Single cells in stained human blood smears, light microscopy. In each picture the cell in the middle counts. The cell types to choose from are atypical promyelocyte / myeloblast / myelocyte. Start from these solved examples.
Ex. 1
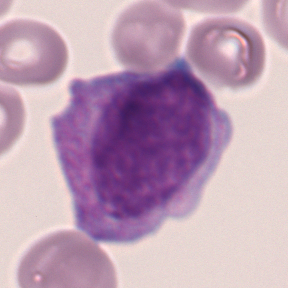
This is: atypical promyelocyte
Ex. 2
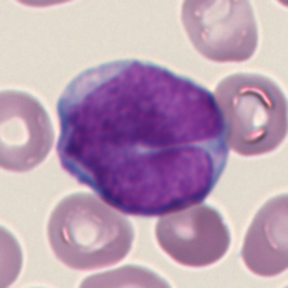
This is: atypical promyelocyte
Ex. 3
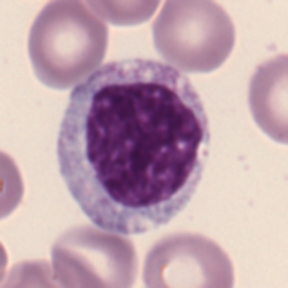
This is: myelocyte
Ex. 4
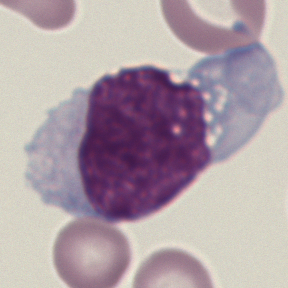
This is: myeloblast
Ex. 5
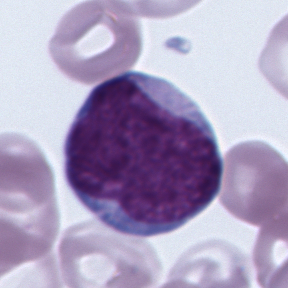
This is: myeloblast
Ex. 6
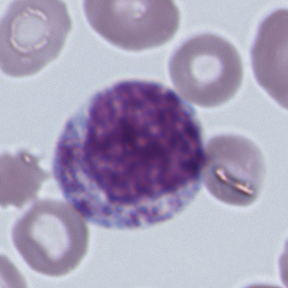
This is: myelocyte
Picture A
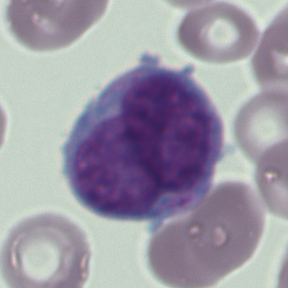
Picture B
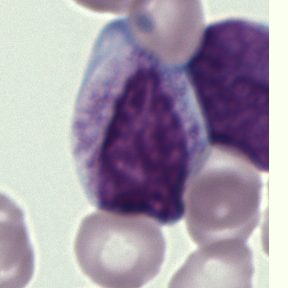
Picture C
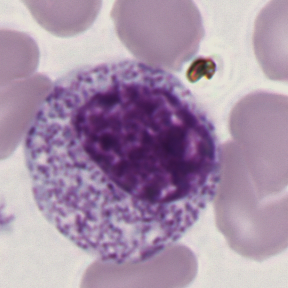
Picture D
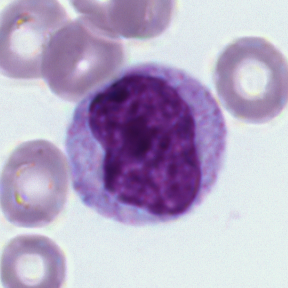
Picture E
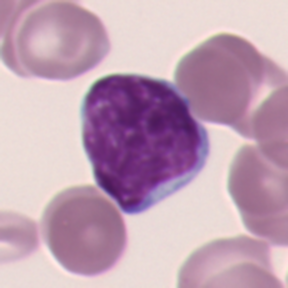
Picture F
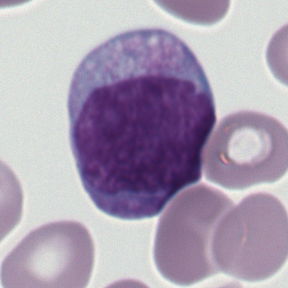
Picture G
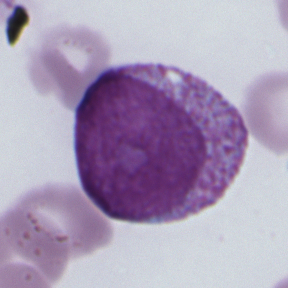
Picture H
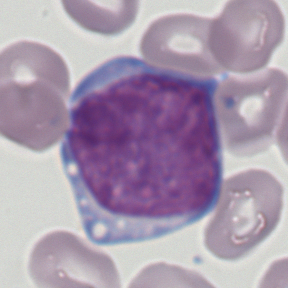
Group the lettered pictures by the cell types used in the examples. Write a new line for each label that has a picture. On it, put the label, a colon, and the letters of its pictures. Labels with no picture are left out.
atypical promyelocyte: A, F
myeloblast: E, H
myelocyte: B, C, D, G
